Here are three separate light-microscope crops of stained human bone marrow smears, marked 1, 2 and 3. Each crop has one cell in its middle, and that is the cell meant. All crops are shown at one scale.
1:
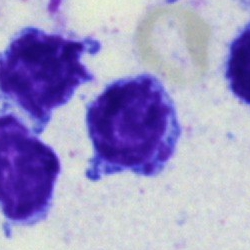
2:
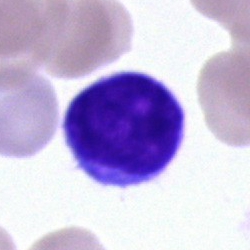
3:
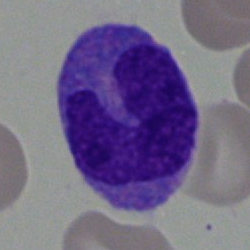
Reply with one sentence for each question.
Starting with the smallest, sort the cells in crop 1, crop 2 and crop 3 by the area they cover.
The order is 1, 2, 3, beginning with the smallest.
